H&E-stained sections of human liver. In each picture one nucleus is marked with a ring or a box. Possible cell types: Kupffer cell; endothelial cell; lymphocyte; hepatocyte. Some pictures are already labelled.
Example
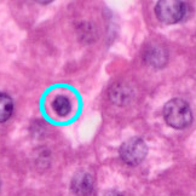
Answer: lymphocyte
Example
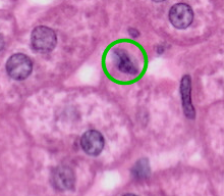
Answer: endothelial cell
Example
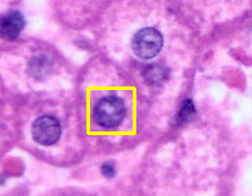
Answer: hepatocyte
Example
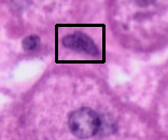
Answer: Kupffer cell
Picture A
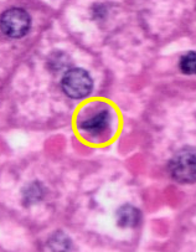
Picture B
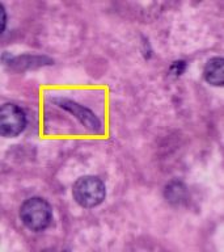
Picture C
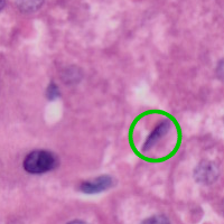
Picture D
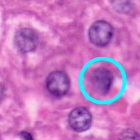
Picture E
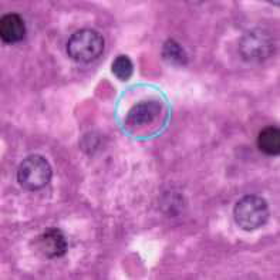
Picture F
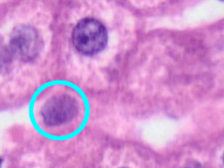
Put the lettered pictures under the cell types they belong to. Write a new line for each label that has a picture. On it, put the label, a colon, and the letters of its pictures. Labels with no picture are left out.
Kupffer cell: B
endothelial cell: A, C, D, E, F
